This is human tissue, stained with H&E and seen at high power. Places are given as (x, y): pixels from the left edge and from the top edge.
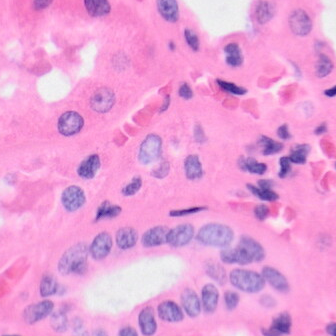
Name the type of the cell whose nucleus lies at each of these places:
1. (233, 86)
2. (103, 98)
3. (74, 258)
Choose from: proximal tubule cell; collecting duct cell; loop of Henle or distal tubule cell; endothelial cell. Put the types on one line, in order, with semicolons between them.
endothelial cell; proximal tubule cell; collecting duct cell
